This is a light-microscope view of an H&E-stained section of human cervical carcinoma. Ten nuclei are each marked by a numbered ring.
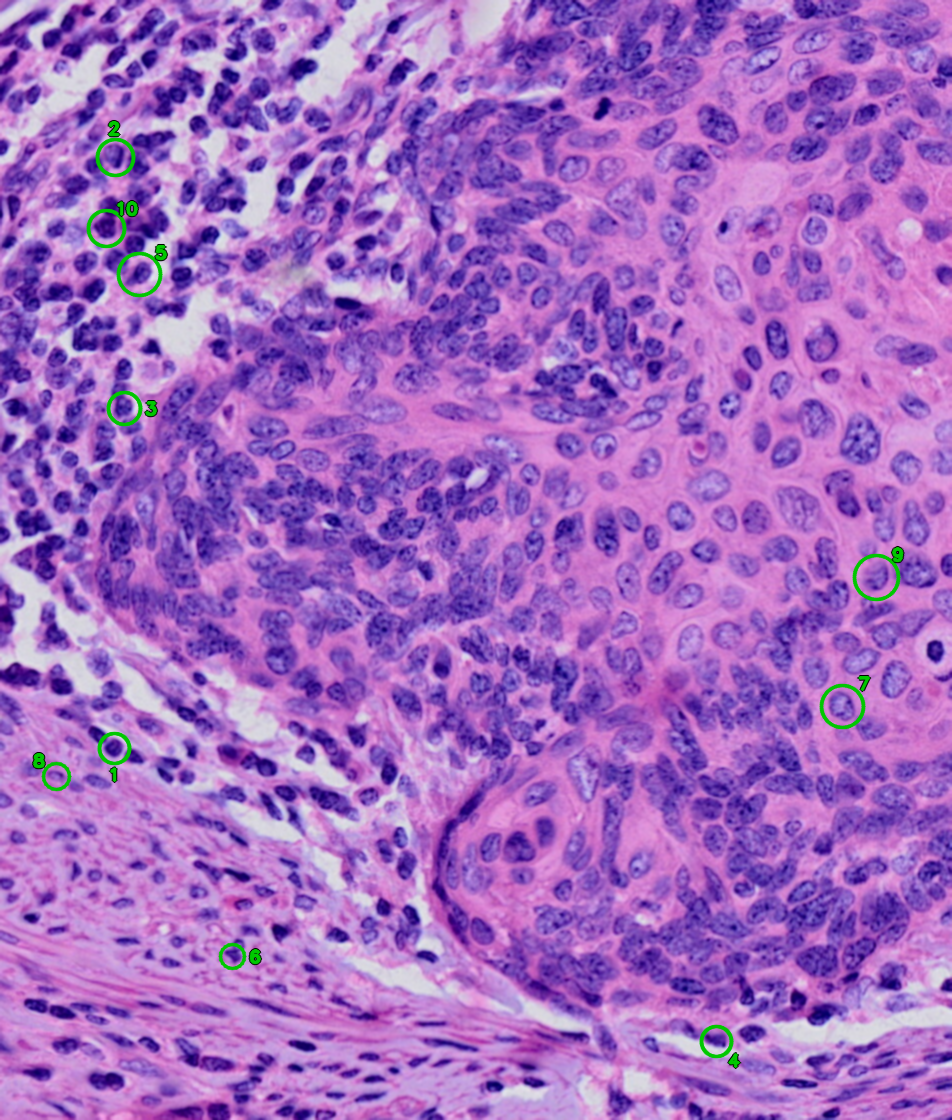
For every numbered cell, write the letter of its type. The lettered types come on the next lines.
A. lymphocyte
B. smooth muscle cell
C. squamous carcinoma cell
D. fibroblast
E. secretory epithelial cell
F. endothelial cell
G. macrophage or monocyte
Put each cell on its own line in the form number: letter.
1: A
2: A
3: A
4: A
5: A
6: B
7: C
8: B
9: C
10: A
